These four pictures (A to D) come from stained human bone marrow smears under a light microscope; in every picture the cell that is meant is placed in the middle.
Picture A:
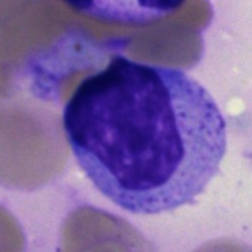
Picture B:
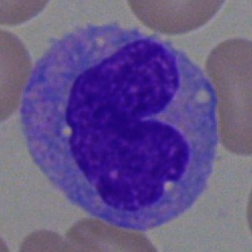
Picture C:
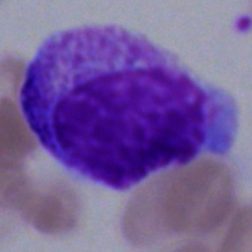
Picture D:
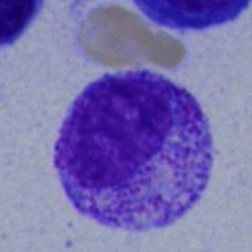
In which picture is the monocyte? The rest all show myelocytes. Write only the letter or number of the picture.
B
